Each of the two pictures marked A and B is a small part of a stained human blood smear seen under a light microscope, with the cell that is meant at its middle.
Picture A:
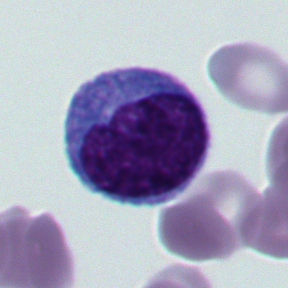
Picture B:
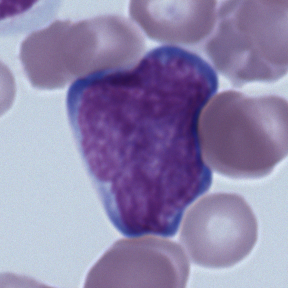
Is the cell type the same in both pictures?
no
